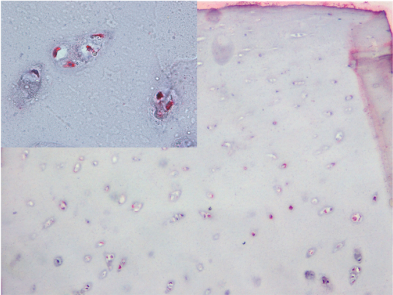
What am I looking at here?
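This is a low-power view of cartilage. Scattered chondrocytes sit in small lacunae within a wide, pale blue-grey matrix that has no vessels. Many of these cells hold red deposits in their cytoplasm. The enlarged inset shows a few chondrocytes with bluish nuclei and clumps of red stain within the cell bodies.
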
